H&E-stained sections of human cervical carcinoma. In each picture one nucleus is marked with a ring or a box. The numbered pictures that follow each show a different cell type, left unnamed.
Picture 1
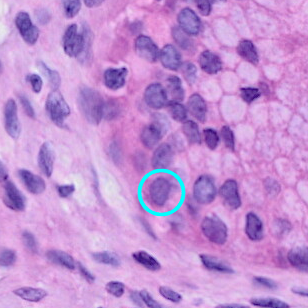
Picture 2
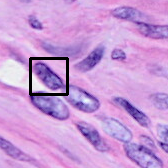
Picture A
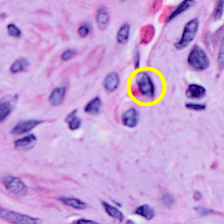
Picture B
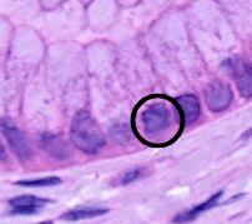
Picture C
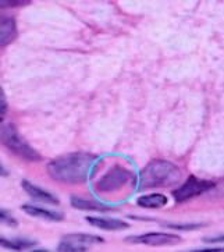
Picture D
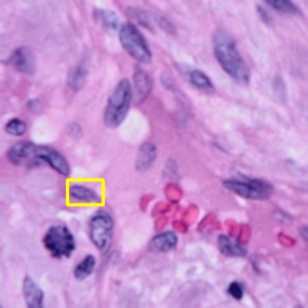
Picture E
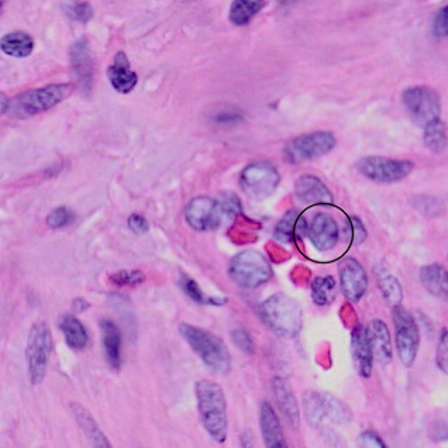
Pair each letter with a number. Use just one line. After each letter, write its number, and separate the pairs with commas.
A 2, B 1, C 1, D 2, E 2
